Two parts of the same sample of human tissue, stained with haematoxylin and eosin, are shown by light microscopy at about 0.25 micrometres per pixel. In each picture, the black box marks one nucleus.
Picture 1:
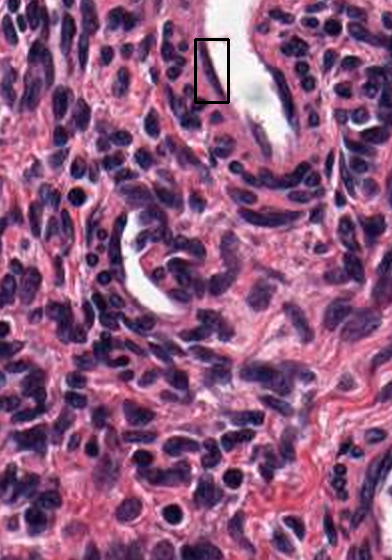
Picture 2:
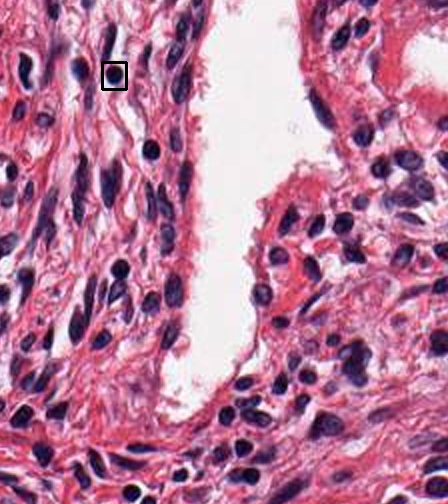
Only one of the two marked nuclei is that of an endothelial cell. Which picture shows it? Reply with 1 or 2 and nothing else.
1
